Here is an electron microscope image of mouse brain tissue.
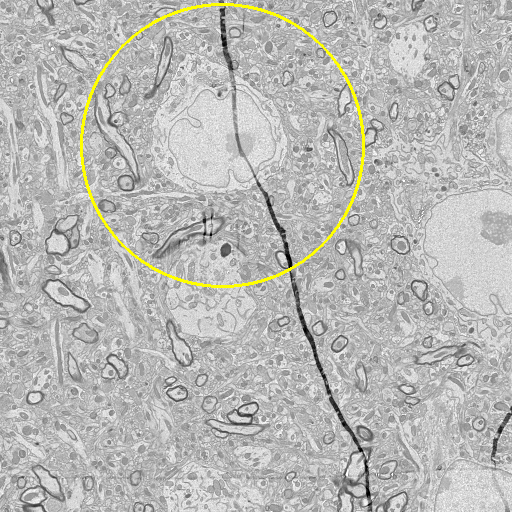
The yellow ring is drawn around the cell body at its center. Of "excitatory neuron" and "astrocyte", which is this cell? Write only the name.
excitatory neuron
